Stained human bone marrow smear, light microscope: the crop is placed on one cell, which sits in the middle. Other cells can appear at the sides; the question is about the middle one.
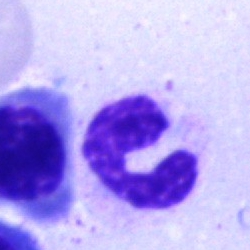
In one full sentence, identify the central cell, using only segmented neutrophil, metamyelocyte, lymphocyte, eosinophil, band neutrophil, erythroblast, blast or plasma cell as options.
The centered cell in this crop is a band neutrophil.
